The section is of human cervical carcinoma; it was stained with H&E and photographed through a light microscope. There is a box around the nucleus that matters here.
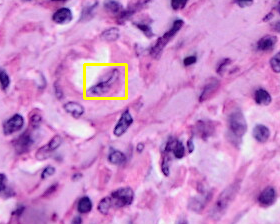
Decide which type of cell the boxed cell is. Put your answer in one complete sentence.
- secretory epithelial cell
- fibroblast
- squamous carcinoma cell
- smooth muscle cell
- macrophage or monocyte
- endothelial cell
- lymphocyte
As a matter of cell type, the boxed cell is an endothelial cell.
